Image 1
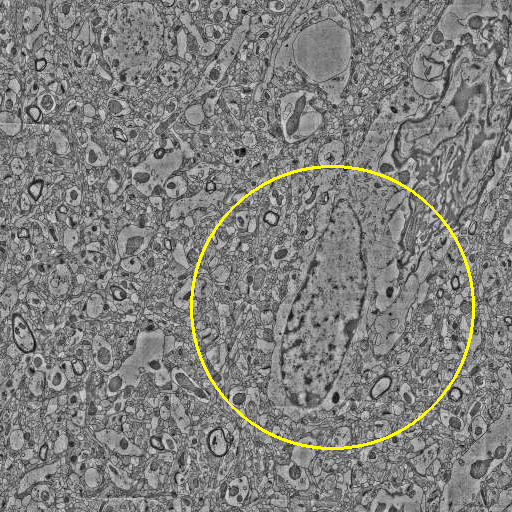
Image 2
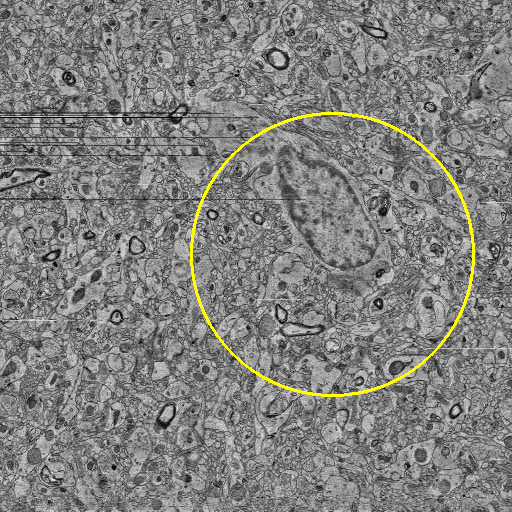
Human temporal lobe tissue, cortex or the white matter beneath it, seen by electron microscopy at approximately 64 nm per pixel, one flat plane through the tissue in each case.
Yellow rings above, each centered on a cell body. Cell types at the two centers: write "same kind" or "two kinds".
same kind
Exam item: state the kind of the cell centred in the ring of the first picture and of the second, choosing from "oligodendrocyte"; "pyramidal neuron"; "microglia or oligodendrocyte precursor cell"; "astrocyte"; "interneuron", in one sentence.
Each of the two pictures has a microglial cell or oligodendrocyte precursor cell at the ring centre.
